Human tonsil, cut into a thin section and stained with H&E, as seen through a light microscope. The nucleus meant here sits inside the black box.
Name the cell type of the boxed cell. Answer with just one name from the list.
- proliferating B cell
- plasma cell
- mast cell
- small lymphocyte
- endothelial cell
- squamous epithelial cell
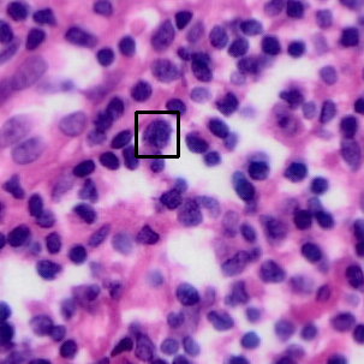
proliferating B cell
